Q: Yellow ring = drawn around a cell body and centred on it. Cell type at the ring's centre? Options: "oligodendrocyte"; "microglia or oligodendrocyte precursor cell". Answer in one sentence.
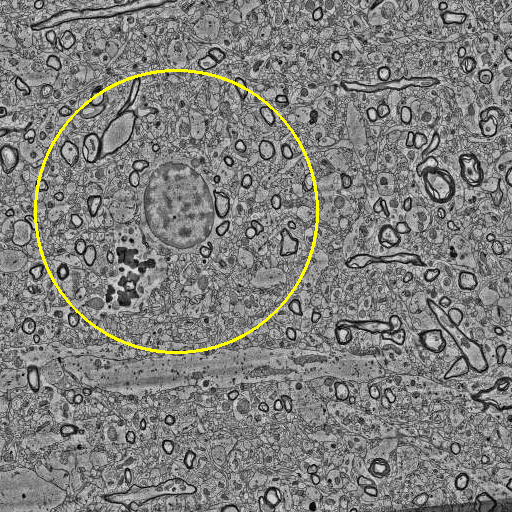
Centred in the ring is an oligodendrocyte.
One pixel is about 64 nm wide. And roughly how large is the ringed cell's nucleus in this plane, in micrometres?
Approximately 5 micrometres across, in this plane.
